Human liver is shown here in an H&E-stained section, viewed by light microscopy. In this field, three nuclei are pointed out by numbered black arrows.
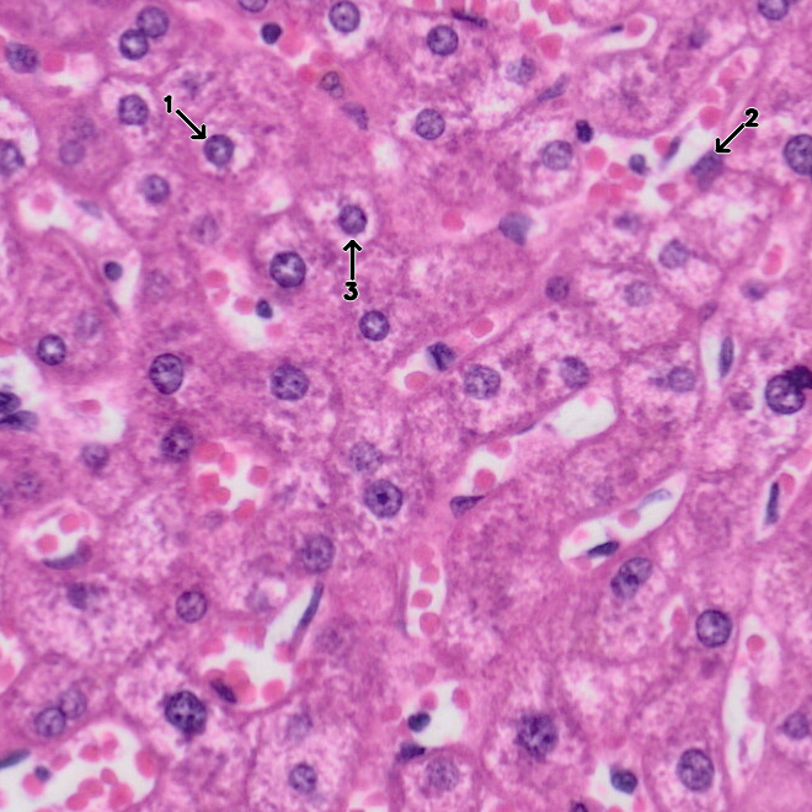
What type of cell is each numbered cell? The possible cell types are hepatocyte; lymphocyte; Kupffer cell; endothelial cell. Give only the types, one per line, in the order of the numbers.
hepatocyte
Kupffer cell
hepatocyte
